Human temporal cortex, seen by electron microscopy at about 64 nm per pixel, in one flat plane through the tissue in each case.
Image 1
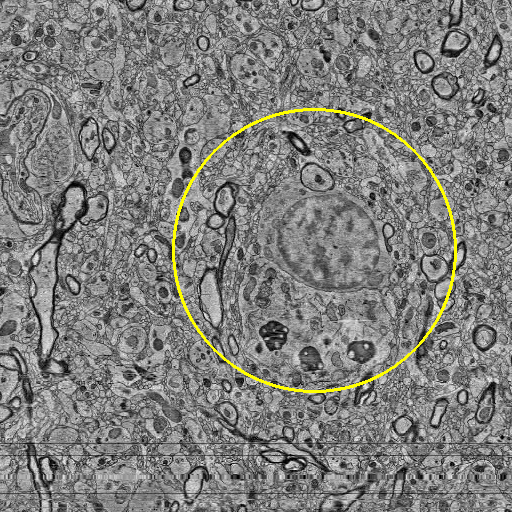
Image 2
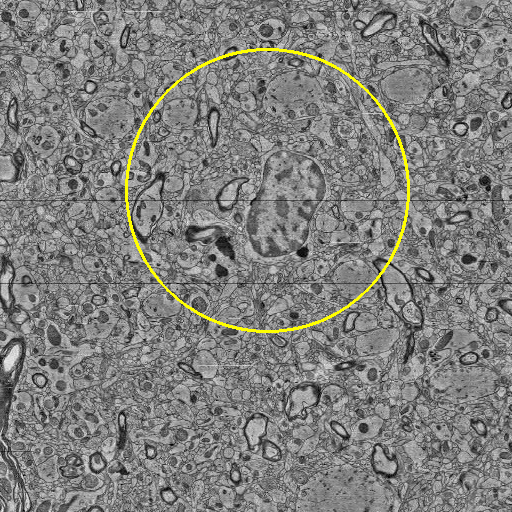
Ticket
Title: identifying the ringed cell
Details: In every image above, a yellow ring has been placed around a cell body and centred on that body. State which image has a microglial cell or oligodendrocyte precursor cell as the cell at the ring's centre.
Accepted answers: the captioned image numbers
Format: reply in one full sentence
The ring in image 2 is centred on the cell in question.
